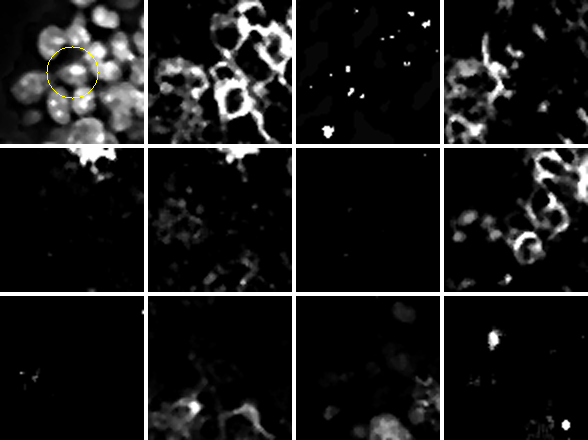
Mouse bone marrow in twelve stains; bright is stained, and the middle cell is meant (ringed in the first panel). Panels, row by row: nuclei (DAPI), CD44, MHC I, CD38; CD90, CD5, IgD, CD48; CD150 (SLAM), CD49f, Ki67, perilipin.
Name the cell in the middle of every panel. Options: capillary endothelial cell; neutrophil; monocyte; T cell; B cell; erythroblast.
capillary endothelial cell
